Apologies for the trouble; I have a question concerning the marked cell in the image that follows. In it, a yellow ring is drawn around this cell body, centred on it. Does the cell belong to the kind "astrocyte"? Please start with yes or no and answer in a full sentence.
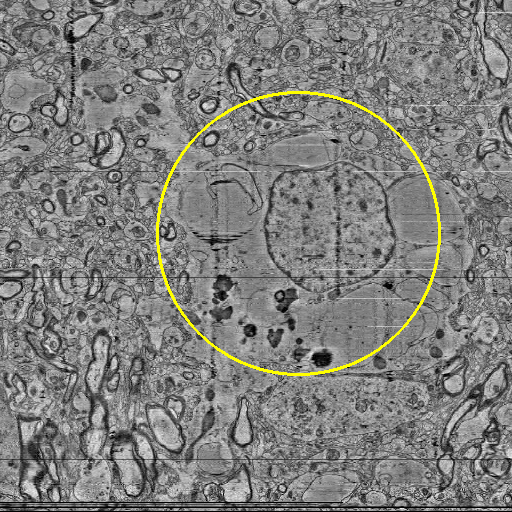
Yes, the cell at the centre of the ring in the picture is of that kind.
